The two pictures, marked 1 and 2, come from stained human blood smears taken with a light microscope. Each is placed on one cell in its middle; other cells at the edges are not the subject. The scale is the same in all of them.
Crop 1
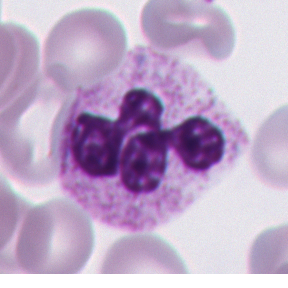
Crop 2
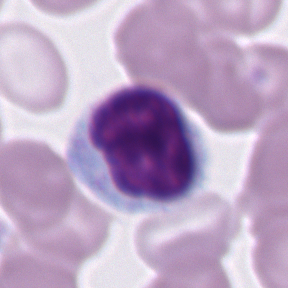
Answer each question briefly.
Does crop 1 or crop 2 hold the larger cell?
1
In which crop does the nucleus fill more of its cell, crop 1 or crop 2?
2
